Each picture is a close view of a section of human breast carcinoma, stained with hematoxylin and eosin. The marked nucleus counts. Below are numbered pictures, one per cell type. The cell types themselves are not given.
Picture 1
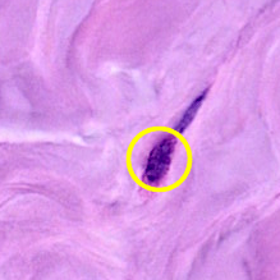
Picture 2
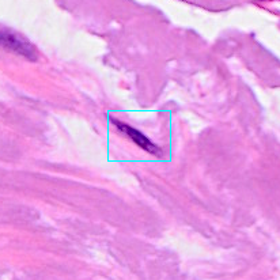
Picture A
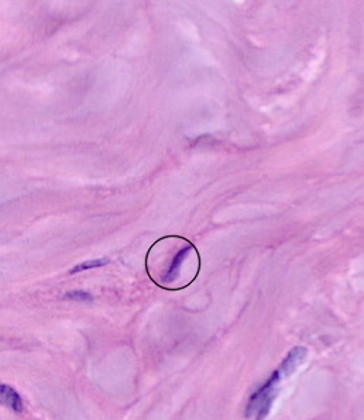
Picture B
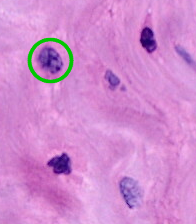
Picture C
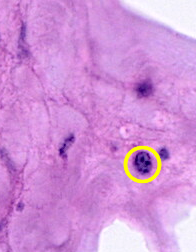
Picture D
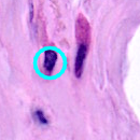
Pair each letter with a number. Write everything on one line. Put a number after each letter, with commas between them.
A 2, B 1, C 1, D 1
